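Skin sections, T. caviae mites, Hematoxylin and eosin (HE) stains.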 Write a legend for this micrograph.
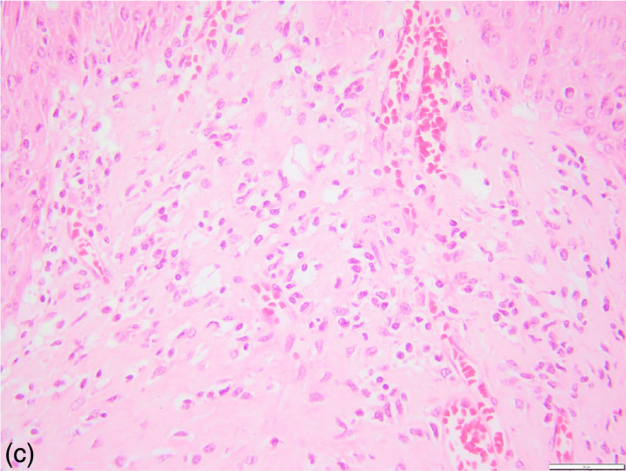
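This is the superficial dermis, loosened and pale pink, filled with scattered inflammatory cells. Most are small round cells with dense, dark purple nuclei and very little cytoplasm, typical of lymphocytes, with a few larger cells that have more cytoplasm among them. Small blood vessels packed with bright red erythrocytes run through the field. The cells lie loosely spread between pale collagen fibres rather than in tight clusters.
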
